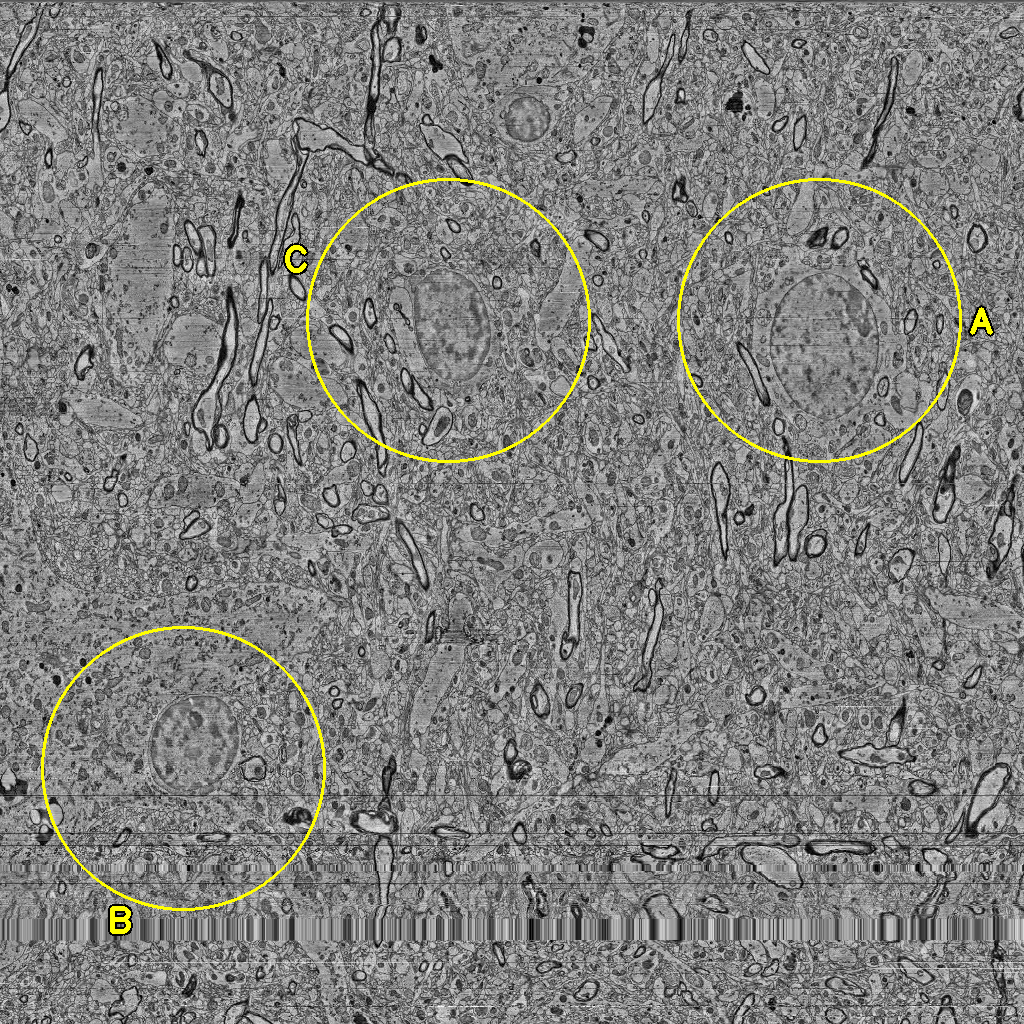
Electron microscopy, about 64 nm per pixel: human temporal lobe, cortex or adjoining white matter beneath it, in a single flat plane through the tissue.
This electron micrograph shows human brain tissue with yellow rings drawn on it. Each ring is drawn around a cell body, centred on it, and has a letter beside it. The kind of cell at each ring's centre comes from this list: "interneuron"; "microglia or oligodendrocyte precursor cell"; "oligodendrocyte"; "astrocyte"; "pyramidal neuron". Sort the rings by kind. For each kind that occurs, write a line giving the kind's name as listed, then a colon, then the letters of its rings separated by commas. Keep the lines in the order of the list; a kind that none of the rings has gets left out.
oligodendrocyte: B, C
astrocyte: A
